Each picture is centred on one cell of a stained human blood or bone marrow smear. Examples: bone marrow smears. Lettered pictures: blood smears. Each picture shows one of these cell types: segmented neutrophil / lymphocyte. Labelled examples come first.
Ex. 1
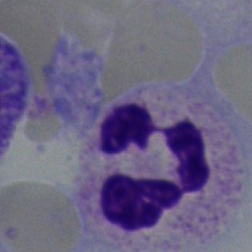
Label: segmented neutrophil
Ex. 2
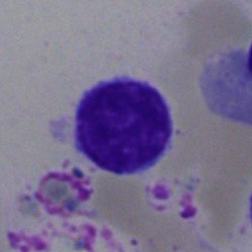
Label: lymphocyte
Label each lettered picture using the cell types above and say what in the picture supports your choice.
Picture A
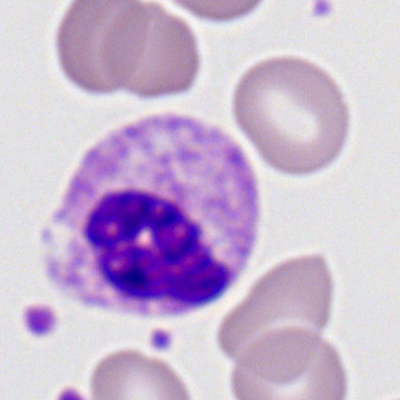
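segmented neutrophil. The cytoplasm is abundant, taking up more of the cell than the nucleus.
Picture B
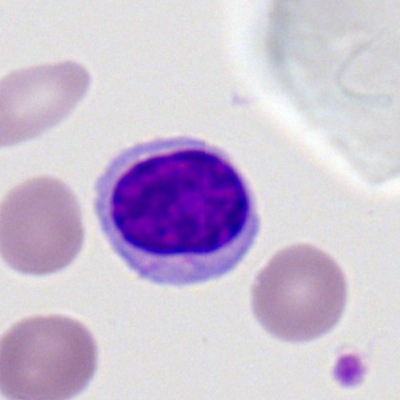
lymphocyte. The nucleus fills most of the cell.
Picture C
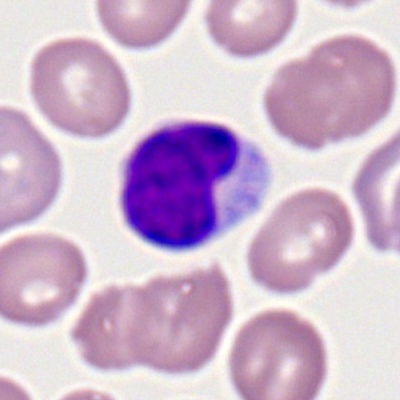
lymphocyte. The nucleus fills most of the cell.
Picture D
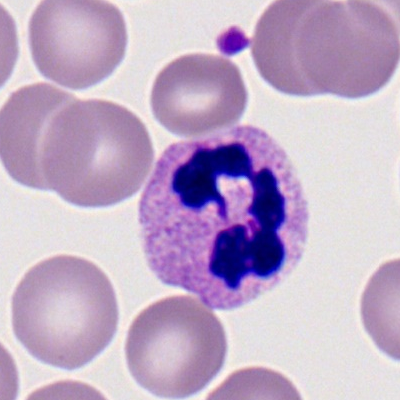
segmented neutrophil. The cytoplasm is plentiful and pale pinkish-lilac.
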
